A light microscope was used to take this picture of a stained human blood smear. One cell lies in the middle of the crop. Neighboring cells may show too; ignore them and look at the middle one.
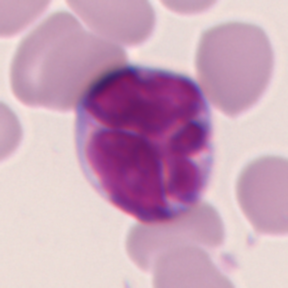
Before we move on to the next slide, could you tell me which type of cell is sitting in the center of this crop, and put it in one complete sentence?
In the central position of this crop, the cell is a large granular lymphocyte.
